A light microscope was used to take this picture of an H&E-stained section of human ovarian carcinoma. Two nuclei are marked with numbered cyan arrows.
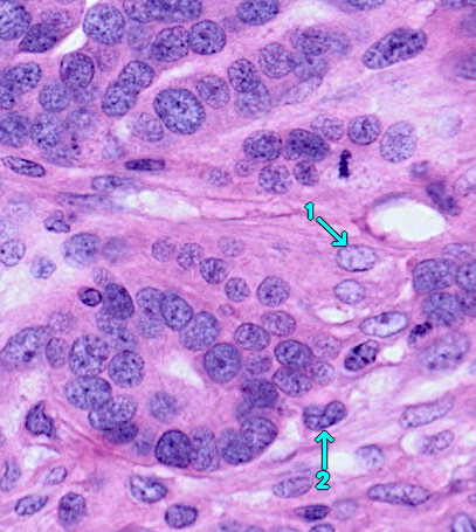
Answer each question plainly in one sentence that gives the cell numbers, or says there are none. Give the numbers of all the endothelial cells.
In this field, none of the numbered cells are endothelial cells.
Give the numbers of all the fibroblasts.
Of the cells carrying numbers, just cell 1 is a fibroblast.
